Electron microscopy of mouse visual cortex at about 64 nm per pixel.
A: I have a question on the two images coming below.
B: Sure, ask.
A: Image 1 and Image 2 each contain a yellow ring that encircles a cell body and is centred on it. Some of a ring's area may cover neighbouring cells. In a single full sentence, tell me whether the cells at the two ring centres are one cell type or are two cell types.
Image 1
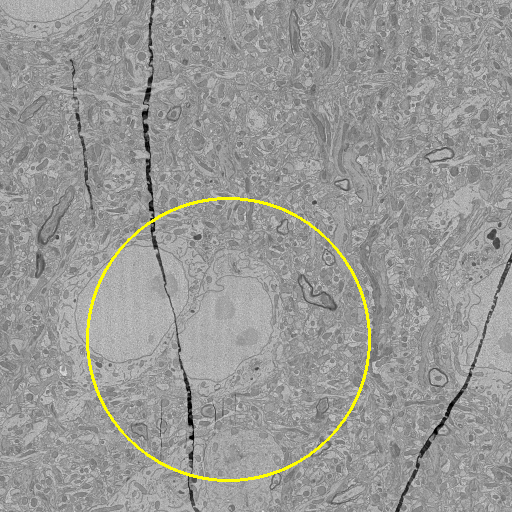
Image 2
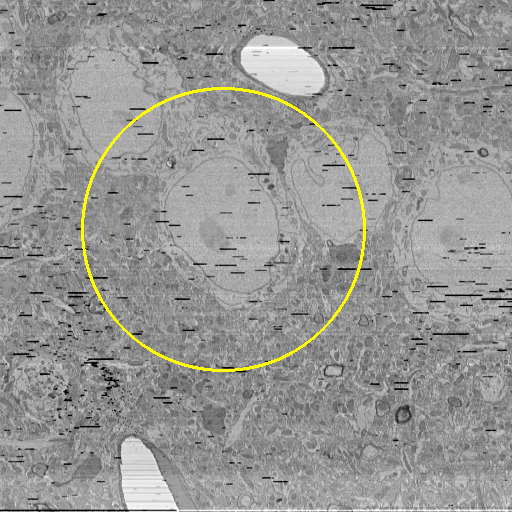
As for the ring-centre cells, the one in Image 1 and the one in Image 2 are one cell type.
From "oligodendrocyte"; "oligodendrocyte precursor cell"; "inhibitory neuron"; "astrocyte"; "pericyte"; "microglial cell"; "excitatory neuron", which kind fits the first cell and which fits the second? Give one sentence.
Each of the two rings is centred on an excitatory neuron.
